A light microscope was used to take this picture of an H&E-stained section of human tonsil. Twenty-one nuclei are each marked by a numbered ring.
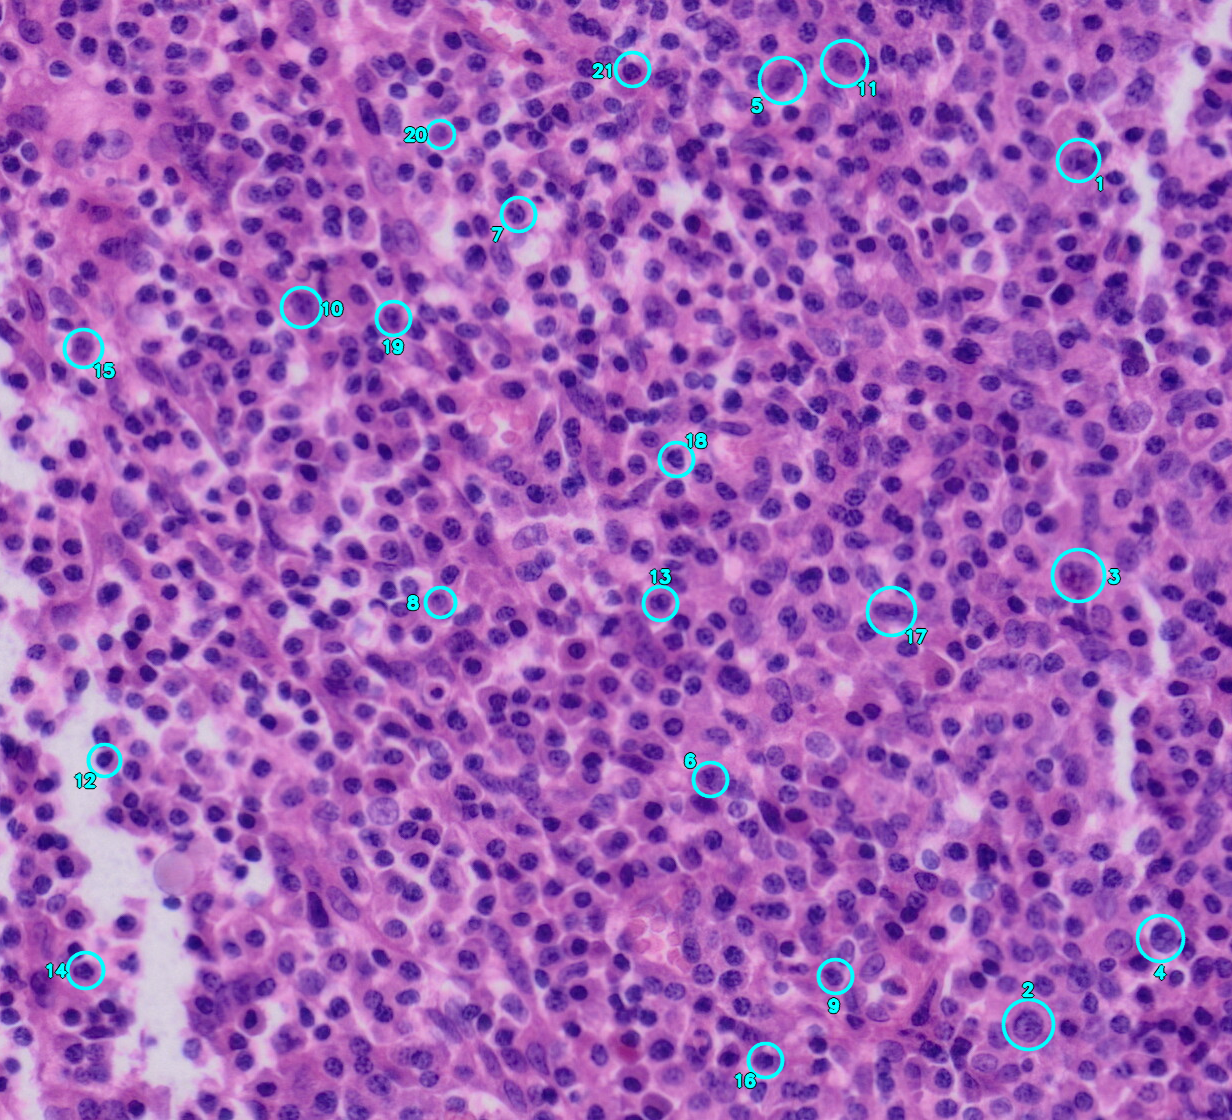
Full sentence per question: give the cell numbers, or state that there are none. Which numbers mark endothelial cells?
None of the cells indicated by numbers are endothelial cells.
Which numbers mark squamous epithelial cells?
The numbers 1, 2, 3, 4, 5, 6, 10, 11, 15, 16 and 17 refer to cells that are squamous epithelial cells.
